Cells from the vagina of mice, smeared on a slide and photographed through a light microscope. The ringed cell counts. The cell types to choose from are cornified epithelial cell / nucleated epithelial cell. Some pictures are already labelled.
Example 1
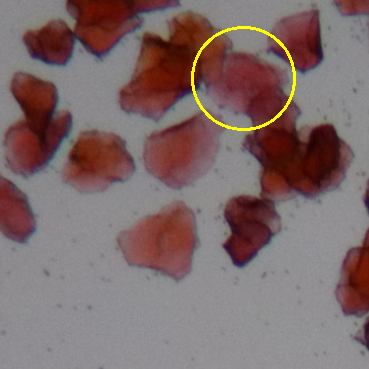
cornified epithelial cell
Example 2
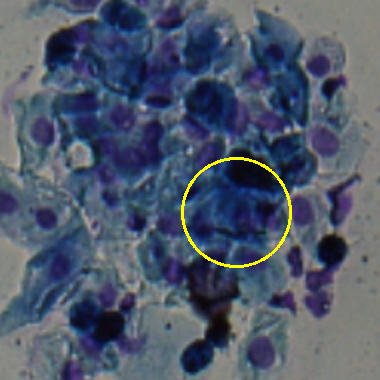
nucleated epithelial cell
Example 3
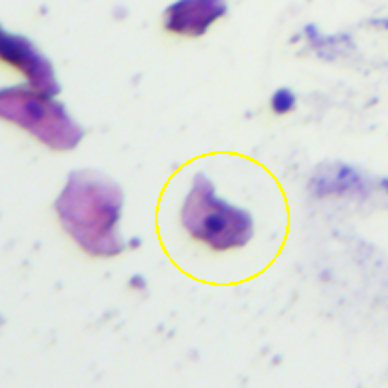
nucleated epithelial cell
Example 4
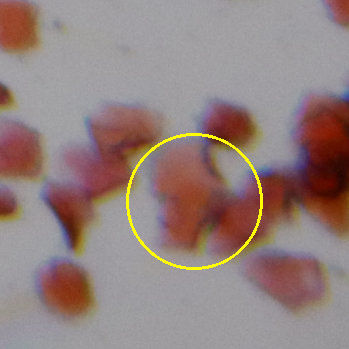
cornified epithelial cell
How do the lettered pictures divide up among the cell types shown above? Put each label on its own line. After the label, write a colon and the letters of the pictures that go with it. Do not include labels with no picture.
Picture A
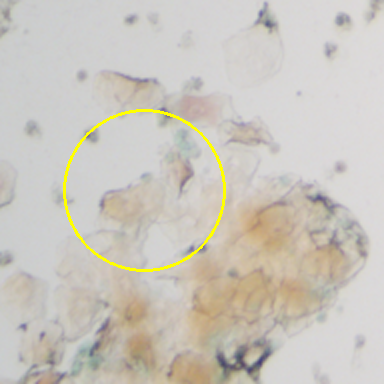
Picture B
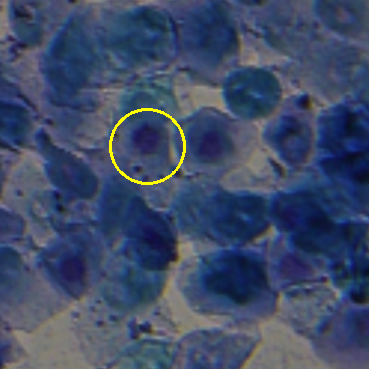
cornified epithelial cell: A
nucleated epithelial cell: B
